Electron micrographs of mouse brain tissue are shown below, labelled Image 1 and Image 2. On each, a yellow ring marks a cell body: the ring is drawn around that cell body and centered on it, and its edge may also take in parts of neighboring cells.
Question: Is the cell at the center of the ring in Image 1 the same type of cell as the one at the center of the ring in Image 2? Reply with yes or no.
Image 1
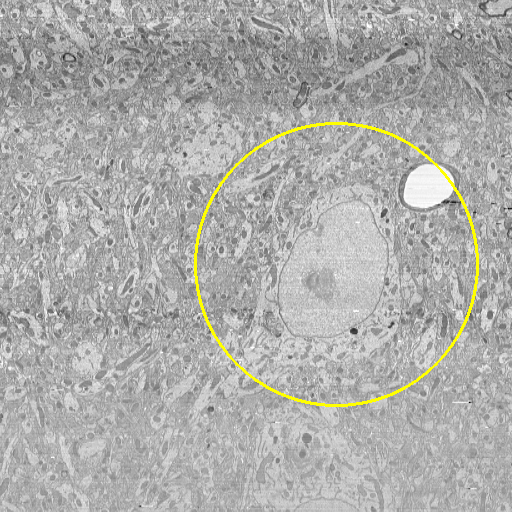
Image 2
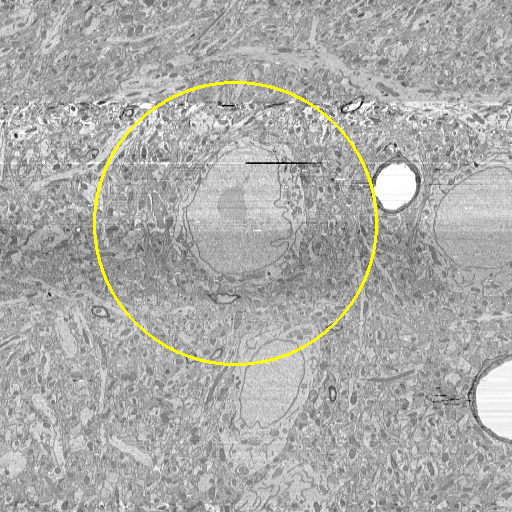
no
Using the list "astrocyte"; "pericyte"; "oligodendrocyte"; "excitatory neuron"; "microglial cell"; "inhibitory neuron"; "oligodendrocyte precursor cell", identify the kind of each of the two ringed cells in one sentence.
The first is an excitatory neuron and the second is an inhibitory neuron.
